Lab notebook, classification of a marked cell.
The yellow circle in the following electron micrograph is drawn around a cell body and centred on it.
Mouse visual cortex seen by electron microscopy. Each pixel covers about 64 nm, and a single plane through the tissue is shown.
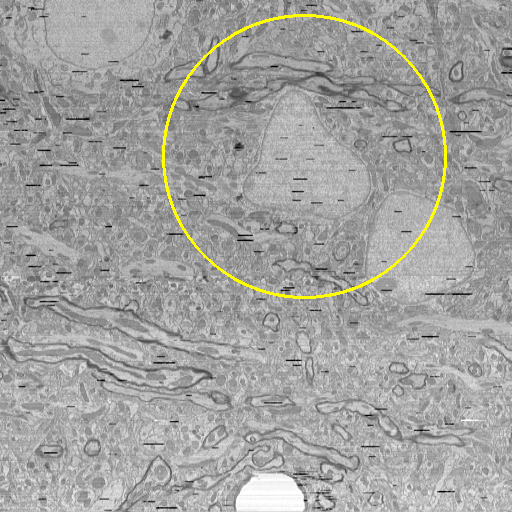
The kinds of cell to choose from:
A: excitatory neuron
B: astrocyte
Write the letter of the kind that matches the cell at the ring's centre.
B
